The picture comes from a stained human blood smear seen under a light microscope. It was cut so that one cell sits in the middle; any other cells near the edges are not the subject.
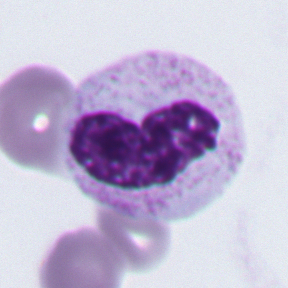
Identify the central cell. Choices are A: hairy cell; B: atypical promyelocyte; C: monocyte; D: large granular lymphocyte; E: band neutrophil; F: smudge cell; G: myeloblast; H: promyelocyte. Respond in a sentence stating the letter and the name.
Well, the cell in the middle is a band neutrophil, making option E right.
